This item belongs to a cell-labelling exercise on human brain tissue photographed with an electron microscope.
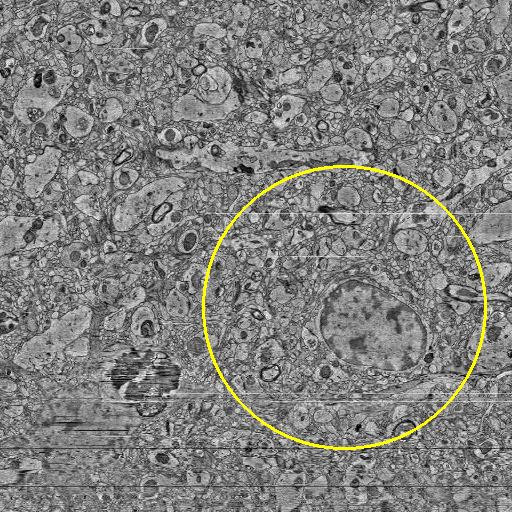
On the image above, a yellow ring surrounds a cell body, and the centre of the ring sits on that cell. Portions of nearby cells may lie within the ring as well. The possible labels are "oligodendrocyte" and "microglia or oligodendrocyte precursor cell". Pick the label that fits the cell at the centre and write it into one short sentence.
This cell should be labelled as a microglial cell or oligodendrocyte precursor cell.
